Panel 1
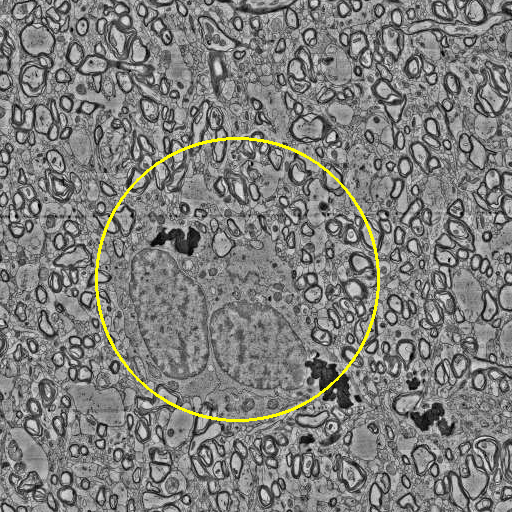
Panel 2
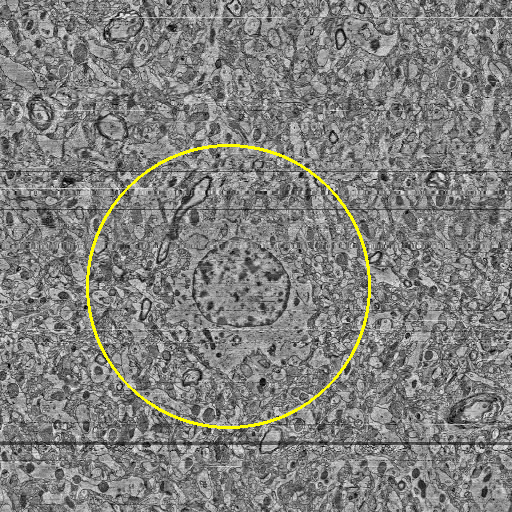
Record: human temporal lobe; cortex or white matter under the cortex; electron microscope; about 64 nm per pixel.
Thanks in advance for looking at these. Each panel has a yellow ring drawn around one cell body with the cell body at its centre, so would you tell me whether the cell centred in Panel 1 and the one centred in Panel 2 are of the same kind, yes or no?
no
